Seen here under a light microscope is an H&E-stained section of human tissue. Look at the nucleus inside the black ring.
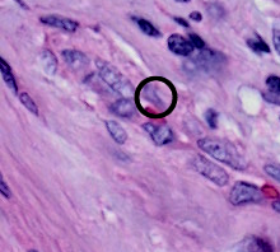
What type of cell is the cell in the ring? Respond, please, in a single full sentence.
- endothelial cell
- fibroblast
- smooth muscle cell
As for its identity, the cell in the ring is an endothelial cell.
